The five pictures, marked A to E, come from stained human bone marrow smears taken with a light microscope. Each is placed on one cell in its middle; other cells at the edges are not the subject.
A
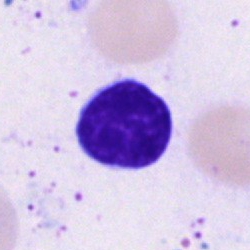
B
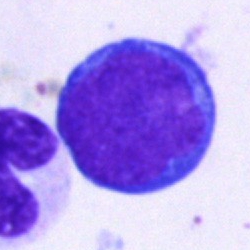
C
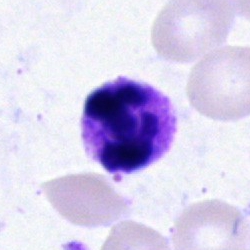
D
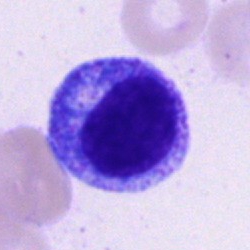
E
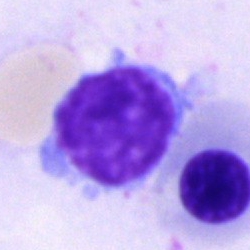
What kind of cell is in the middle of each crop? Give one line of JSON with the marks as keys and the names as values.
{"A": "lymphocyte", "B": "blast", "C": "segmented neutrophil", "D": "myelocyte", "E": "lymphocyte"}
